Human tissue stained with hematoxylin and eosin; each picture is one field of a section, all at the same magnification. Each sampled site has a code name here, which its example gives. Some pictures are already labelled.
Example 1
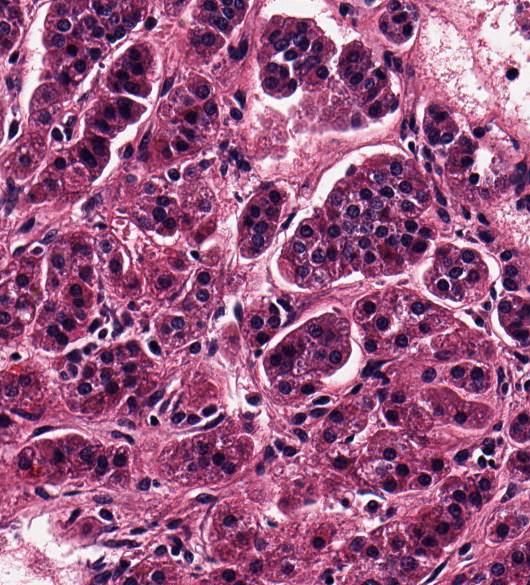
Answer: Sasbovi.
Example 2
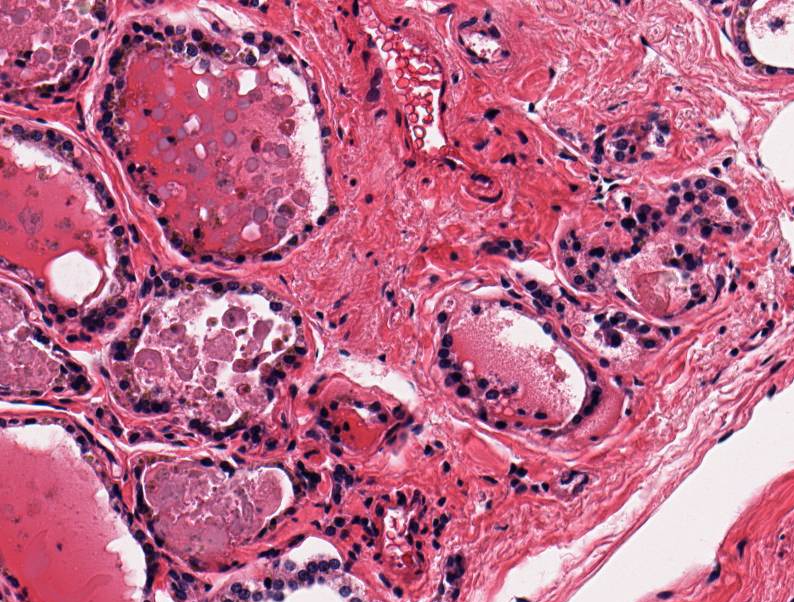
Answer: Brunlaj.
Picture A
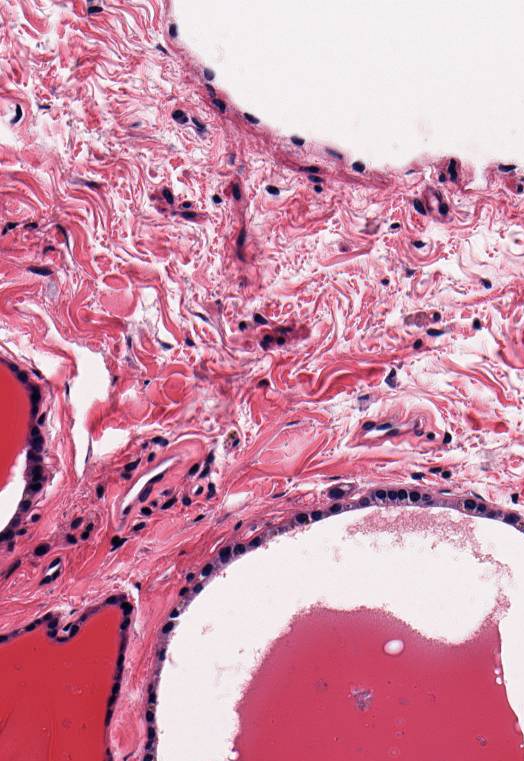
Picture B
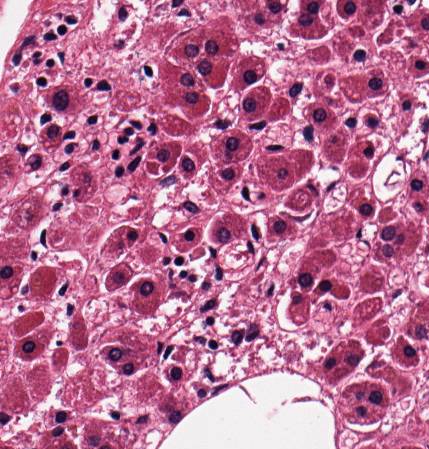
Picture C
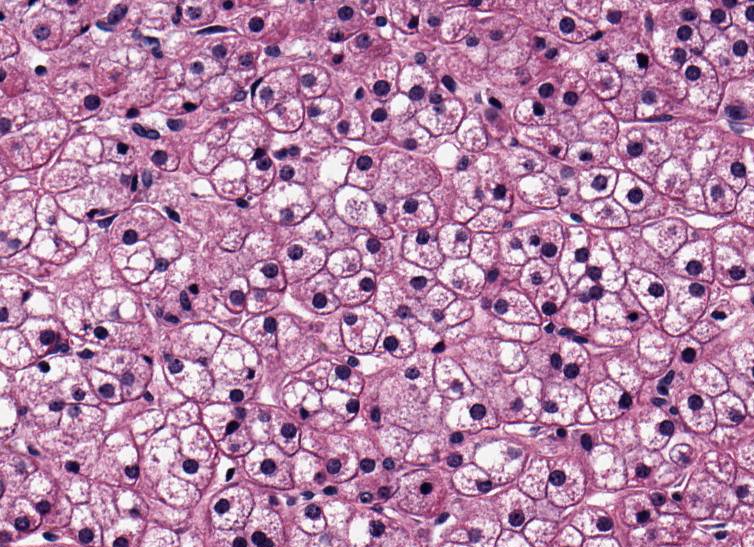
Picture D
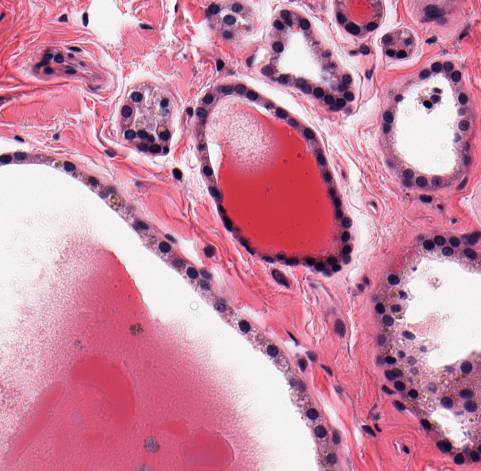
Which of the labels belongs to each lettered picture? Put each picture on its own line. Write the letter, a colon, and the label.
A: Brunlaj.
B: Sasbovi.
C: Sasbovi.
D: Brunlaj.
